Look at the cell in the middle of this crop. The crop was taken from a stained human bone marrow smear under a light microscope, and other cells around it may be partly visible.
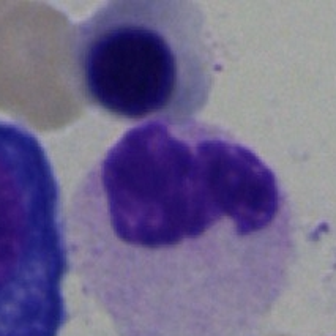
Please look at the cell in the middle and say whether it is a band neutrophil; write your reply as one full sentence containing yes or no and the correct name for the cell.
Yes, the crop's central cell is a band neutrophil.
